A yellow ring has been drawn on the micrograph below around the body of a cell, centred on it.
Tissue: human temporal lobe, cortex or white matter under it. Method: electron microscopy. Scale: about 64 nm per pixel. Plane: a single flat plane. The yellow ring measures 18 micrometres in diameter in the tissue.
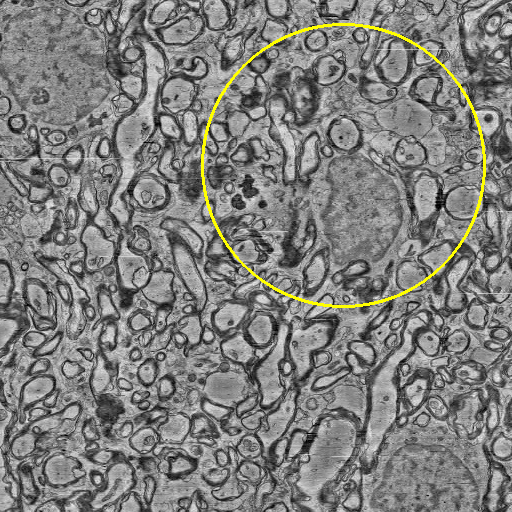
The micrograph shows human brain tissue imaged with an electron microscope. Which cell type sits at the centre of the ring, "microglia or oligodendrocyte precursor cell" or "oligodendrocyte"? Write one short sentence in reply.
The cell sitting at the centre of the ring is an oligodendrocyte.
